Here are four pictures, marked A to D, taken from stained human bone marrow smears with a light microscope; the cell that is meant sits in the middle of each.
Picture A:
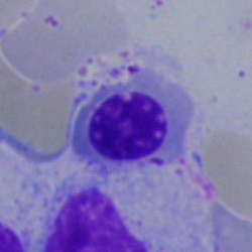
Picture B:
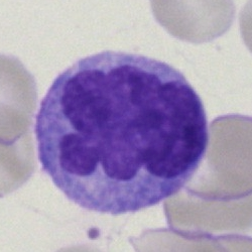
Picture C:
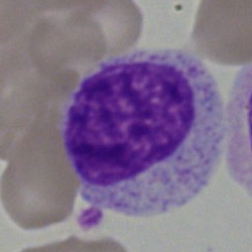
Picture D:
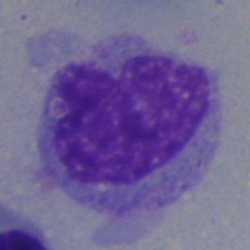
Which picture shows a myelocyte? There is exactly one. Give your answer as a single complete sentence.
Picture C shows the myelocyte.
